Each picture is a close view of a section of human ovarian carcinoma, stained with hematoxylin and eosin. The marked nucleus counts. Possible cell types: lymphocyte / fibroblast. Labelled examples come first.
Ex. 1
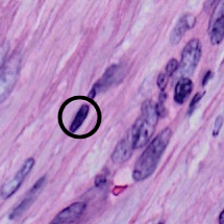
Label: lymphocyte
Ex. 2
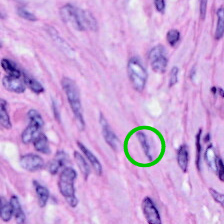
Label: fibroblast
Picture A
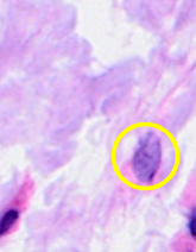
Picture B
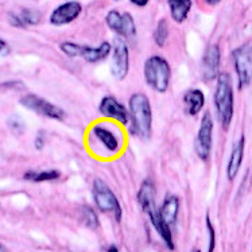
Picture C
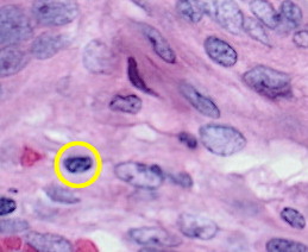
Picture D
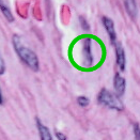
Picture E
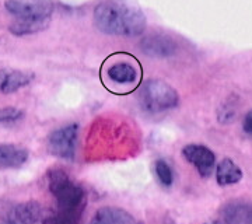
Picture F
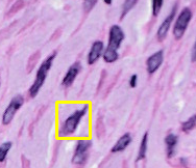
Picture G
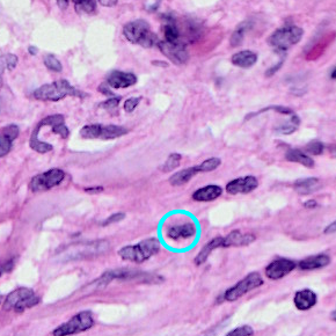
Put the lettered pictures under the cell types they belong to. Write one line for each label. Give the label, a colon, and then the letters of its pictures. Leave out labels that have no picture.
lymphocyte: B, C, E, G
fibroblast: A, D, F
